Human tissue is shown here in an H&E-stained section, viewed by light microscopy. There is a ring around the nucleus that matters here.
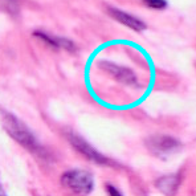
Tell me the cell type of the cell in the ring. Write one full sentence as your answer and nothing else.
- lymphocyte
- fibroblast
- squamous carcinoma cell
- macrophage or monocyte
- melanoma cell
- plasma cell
Cytologically, the cell in the ring is to be regarded as a fibroblast.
